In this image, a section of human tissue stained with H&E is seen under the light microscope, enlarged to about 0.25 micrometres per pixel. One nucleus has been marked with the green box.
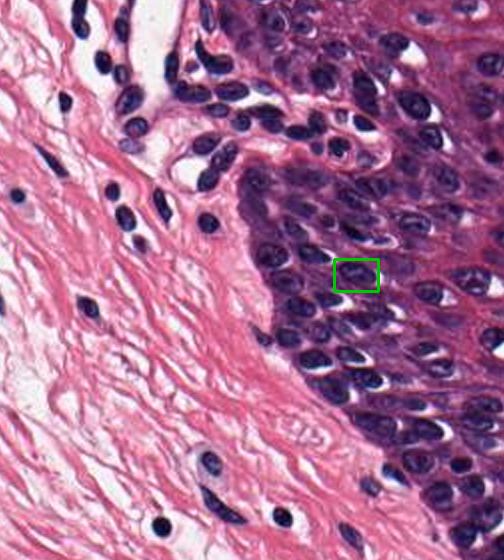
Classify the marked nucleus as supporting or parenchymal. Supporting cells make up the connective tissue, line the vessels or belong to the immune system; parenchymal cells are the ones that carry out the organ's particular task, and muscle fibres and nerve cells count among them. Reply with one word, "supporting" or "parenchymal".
parenchymal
